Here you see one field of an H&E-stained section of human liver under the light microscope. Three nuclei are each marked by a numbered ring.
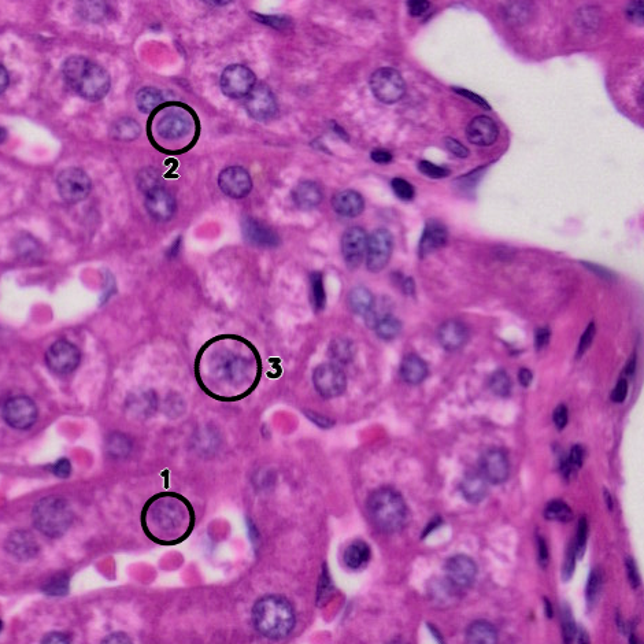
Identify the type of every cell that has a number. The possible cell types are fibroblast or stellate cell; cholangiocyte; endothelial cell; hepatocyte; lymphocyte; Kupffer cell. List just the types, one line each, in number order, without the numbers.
hepatocyte
cholangiocyte
hepatocyte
